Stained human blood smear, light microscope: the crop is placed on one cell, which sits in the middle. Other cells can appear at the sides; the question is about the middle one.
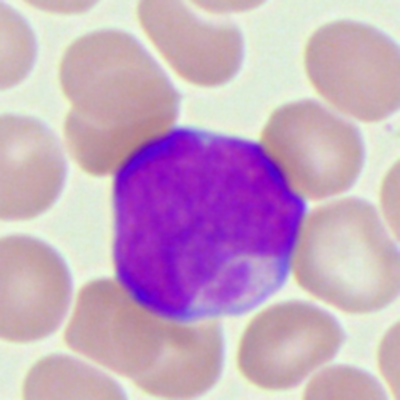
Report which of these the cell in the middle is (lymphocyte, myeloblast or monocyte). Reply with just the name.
myeloblast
